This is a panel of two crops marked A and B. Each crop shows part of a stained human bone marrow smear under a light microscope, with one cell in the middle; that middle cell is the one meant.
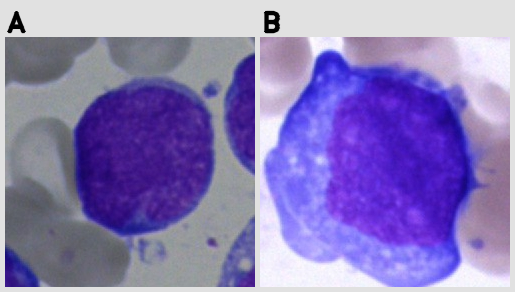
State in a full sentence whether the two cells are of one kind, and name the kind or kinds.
Yes, as for both crops, the cells shown are blasts.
